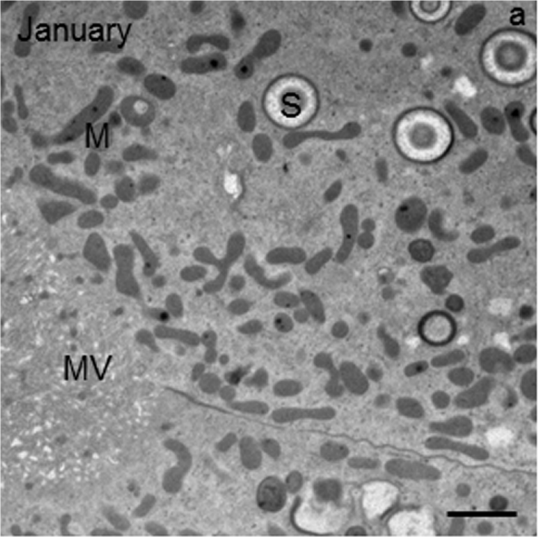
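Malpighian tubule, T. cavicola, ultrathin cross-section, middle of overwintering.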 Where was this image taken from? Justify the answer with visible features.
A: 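A brush border of microvilli occupies the left side of the panel. Many mitochondria crowd the cytoplasm next to the microvilli. On this evidence: Apical part of the cell.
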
